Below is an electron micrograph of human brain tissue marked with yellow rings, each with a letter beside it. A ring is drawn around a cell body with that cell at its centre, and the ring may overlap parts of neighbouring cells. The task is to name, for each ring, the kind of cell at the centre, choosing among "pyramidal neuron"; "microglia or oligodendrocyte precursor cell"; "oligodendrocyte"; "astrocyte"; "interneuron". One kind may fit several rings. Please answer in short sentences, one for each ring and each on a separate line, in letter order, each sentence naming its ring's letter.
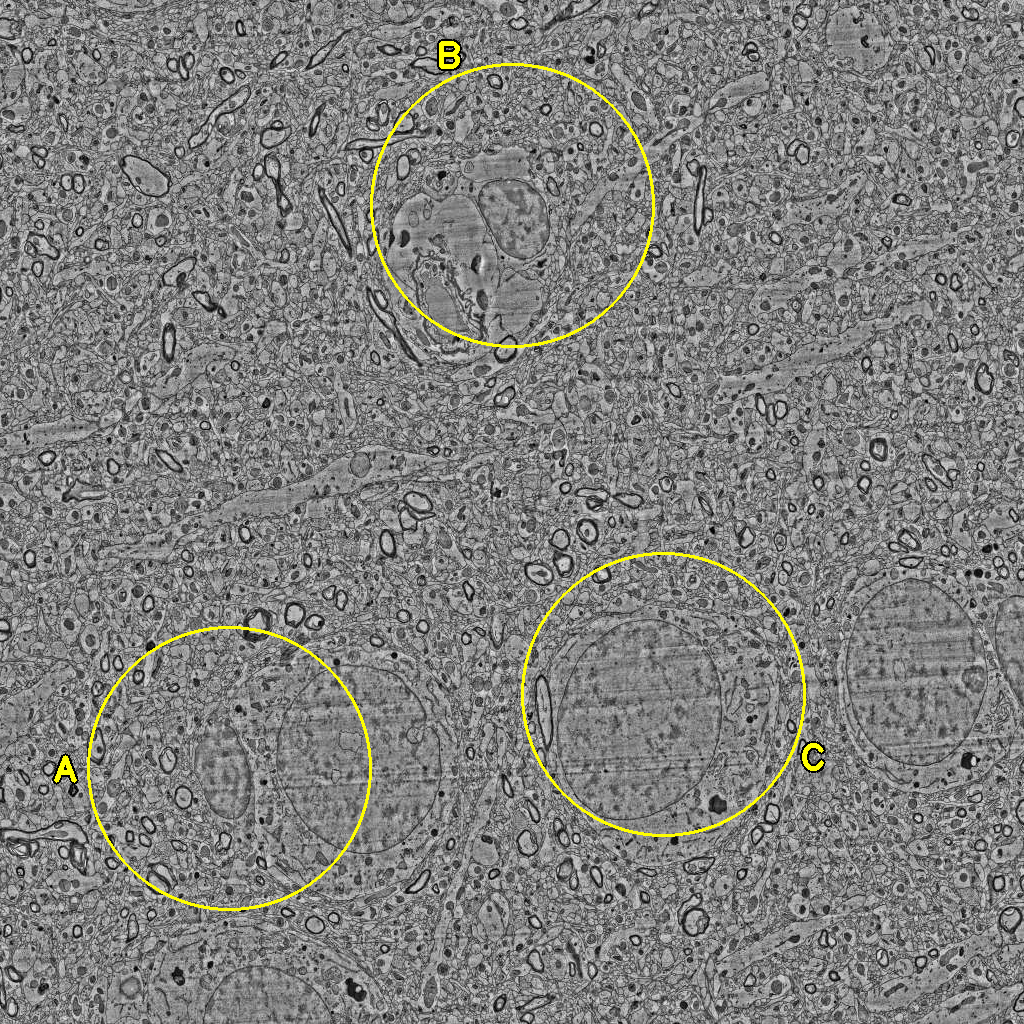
The ring with letter A is centred on an oligodendrocyte.
The ring with letter B is centred on a microglial cell or oligodendrocyte precursor cell.
The ring with letter C is centred on a pyramidal neuron.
